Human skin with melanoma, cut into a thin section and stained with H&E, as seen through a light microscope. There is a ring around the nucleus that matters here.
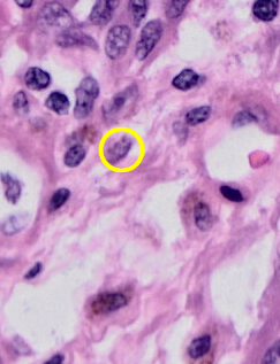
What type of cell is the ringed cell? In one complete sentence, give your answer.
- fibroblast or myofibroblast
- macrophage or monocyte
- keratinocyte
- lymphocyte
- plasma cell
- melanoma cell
Among the cells in this section, the ringed cell is a macrophage or monocyte.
